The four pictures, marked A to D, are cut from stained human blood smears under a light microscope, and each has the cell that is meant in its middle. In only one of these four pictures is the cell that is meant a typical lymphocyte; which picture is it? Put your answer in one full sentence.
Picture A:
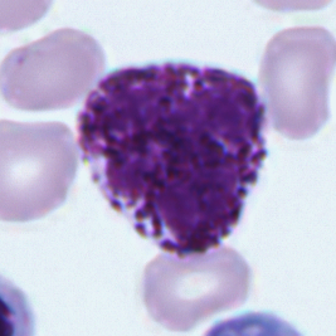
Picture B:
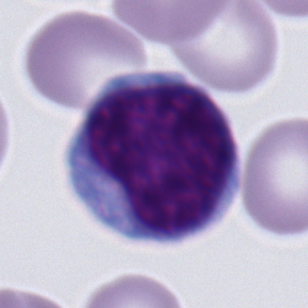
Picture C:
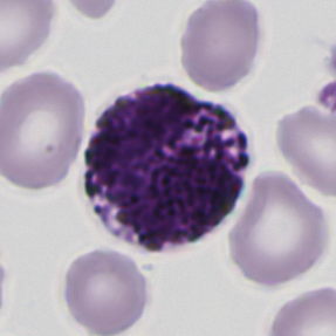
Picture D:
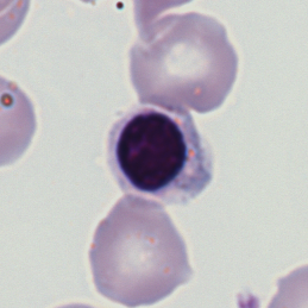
The picture with the typical lymphocyte is B.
